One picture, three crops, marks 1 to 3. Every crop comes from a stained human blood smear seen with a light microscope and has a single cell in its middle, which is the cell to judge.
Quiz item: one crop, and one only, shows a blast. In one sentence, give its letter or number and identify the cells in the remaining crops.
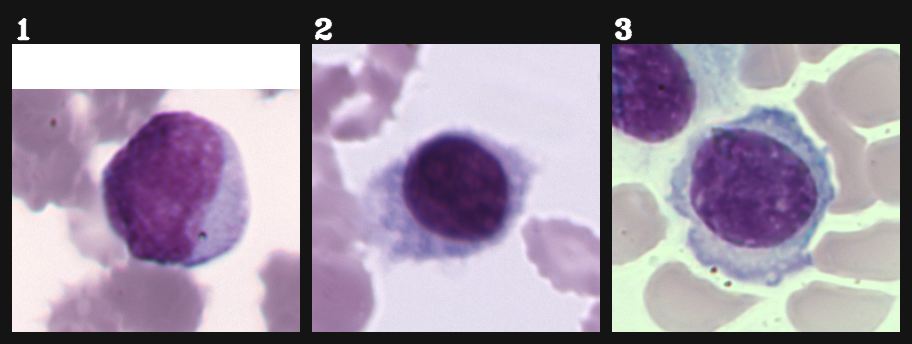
Crop 1 shows a blast, and meanwhile crop 2 is a hairy cell and crop 3 is a plasma cell.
